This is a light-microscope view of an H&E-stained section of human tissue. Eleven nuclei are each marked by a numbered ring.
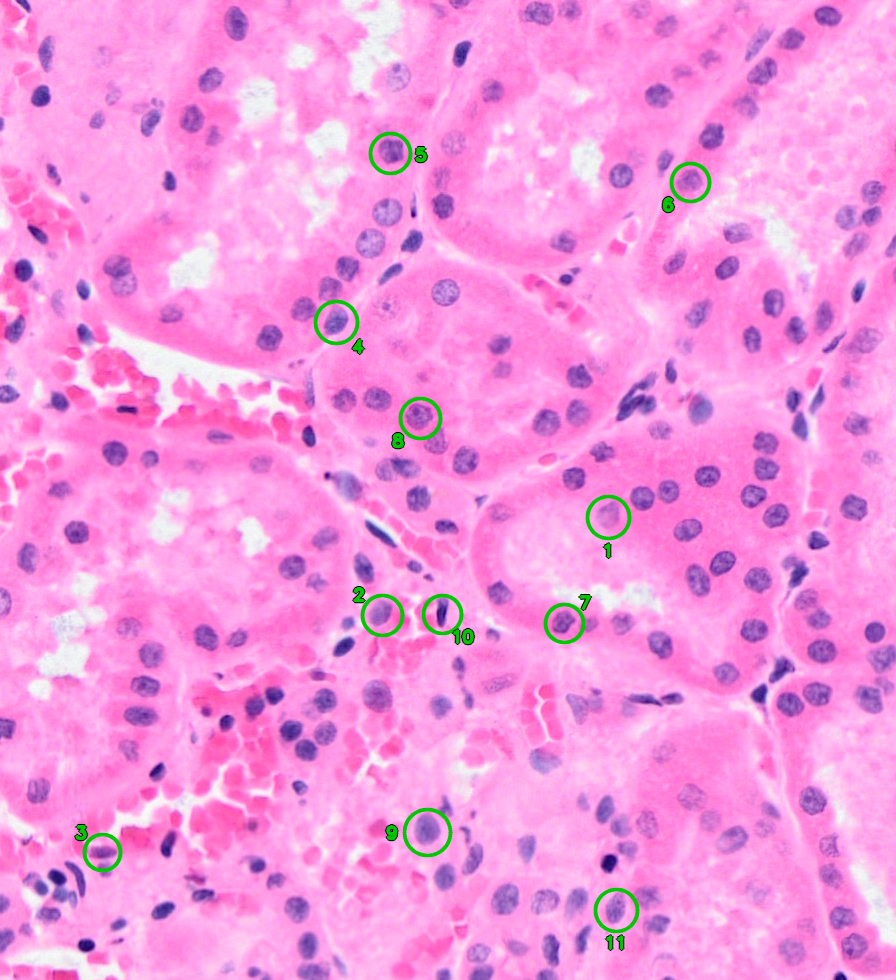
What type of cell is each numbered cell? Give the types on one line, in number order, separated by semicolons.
proximal tubule cell; endothelial cell; endothelial cell; endothelial cell; proximal tubule cell; proximal tubule cell; proximal tubule cell; proximal tubule cell; endothelial cell; endothelial cell; endothelial cell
